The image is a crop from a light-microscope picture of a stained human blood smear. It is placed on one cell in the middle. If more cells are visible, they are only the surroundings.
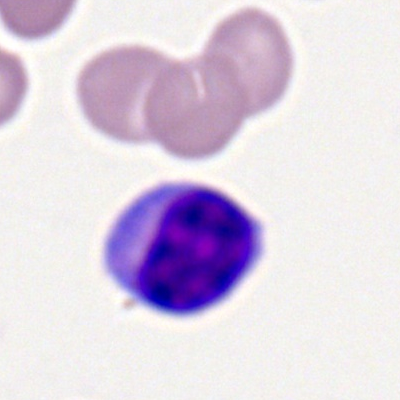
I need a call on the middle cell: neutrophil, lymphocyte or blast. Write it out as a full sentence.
The cell under consideration, at the middle of the crop, is a lymphocyte.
